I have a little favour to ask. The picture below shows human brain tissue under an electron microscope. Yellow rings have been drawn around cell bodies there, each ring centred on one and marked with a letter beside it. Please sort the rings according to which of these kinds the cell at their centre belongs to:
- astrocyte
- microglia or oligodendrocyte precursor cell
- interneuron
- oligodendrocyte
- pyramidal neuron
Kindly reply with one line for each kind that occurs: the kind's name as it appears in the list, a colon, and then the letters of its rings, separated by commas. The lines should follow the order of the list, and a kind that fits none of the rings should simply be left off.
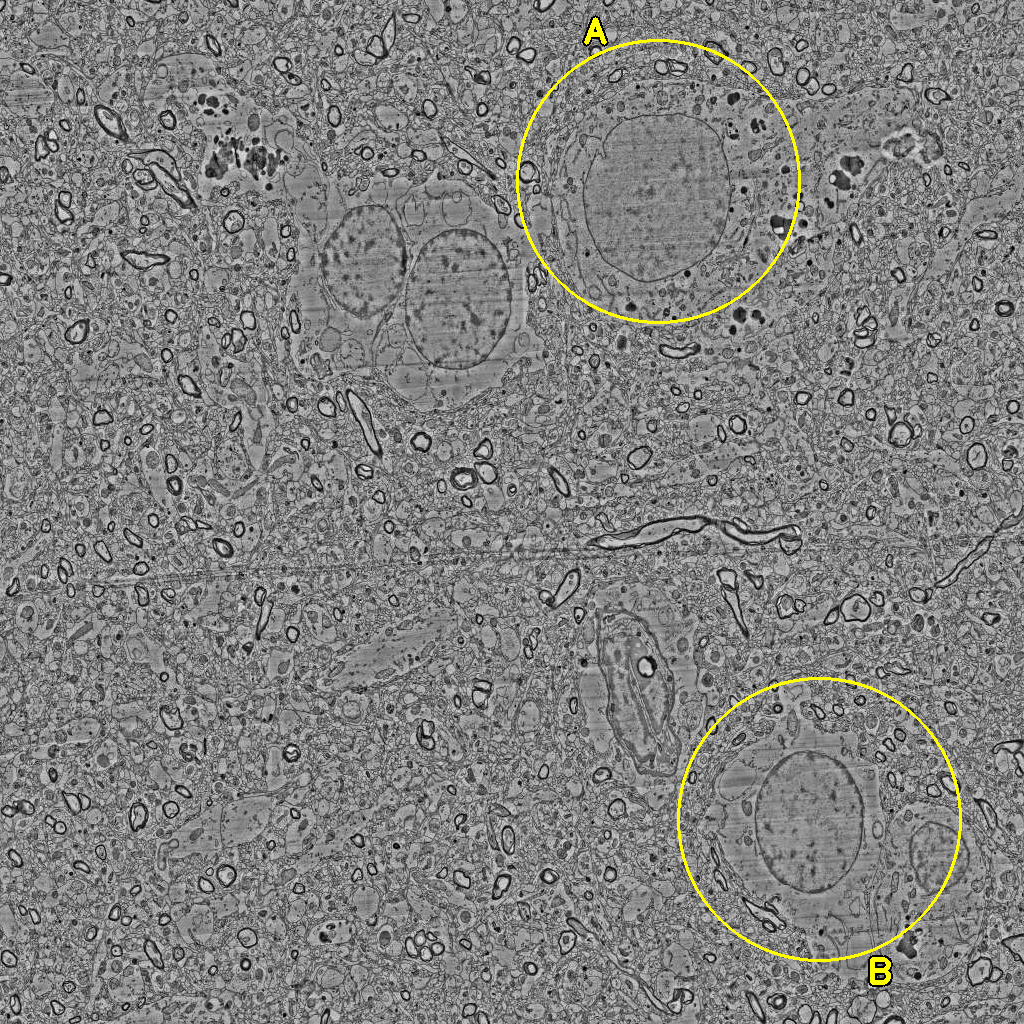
astrocyte: B
pyramidal neuron: A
